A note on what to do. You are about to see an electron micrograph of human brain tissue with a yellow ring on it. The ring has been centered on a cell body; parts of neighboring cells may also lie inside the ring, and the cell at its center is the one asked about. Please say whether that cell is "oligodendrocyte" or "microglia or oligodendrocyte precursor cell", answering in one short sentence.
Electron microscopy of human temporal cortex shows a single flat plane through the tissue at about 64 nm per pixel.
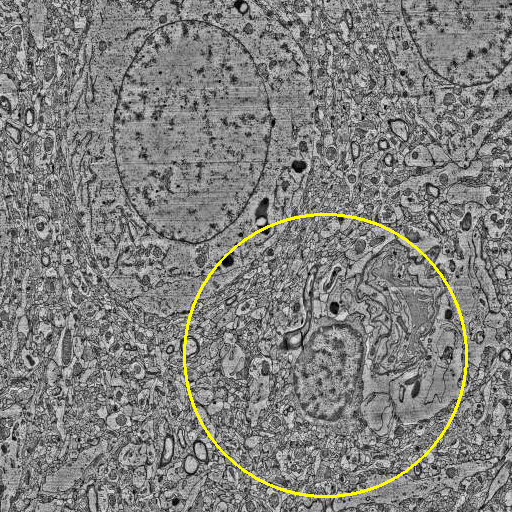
The yellow ring sits on an oligodendrocyte.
